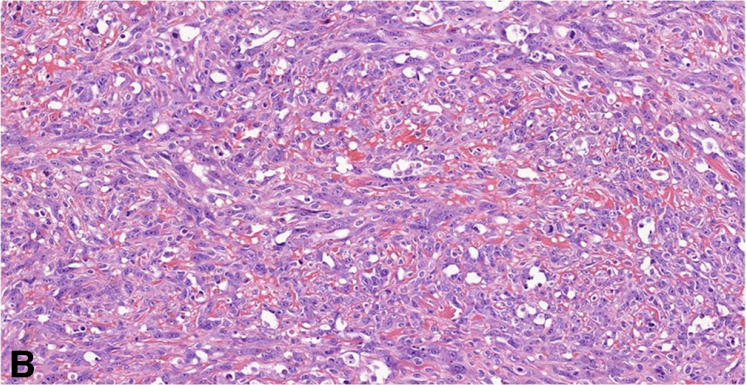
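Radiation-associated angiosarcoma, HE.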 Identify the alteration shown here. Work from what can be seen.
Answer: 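Severe cytological atypia. Nuclei vary markedly in size and shape. Many nuclei are enlarged and hyperchromatic.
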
